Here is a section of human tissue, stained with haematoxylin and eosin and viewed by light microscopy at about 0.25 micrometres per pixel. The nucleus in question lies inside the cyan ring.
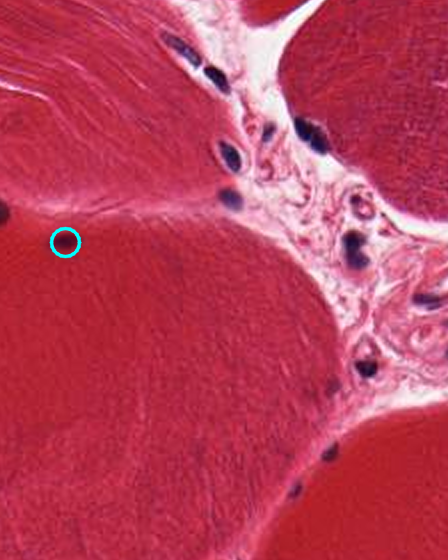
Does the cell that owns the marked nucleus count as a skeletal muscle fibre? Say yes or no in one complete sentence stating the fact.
Yes, the marked nucleus forms part of a skeletal muscle fibre.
